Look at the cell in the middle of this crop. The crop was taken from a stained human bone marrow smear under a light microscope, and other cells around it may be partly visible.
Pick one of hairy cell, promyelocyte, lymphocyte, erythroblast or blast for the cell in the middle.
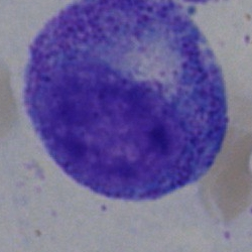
promyelocyte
